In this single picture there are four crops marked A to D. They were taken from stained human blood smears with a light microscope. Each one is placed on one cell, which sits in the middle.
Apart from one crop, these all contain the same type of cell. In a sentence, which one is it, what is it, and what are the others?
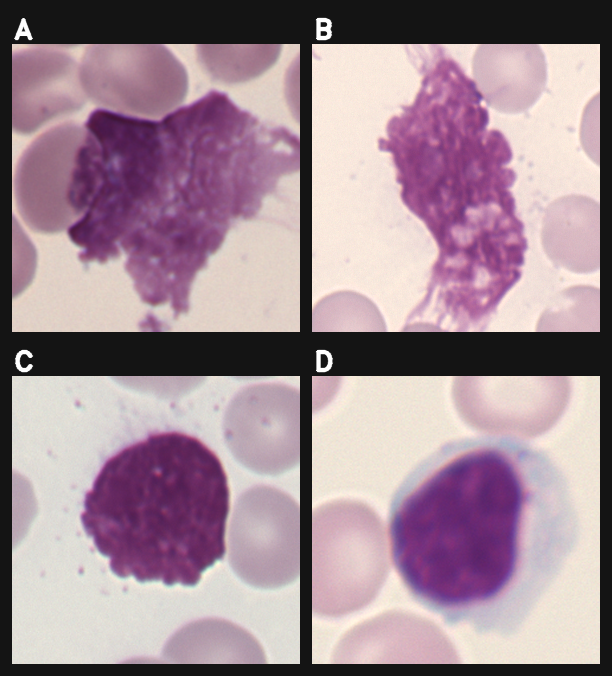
A different cell type, a typical lymphocyte, occupies crop D; the other crops show smudge cells.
